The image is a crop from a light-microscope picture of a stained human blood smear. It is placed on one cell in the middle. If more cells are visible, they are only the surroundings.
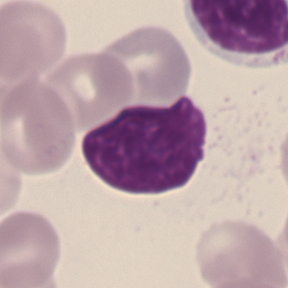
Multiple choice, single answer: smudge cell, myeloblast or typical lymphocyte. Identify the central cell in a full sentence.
The cell featured at the centre of this crop is a smudge cell.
